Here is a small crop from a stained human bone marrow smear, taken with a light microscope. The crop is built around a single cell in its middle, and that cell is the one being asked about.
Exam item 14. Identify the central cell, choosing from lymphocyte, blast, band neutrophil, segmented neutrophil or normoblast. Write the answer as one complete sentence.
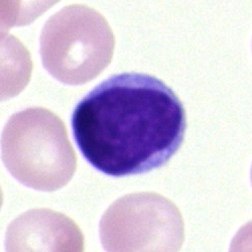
The cell the crop is centered on is a lymphocyte.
